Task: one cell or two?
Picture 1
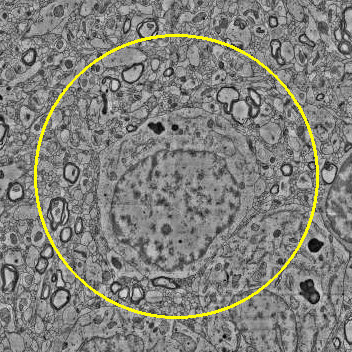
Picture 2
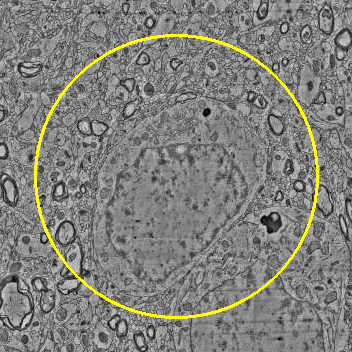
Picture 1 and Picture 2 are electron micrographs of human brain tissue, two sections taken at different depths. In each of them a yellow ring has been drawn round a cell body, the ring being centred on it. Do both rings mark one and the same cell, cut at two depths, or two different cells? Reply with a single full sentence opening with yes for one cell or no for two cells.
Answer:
Yes, what the two rings mark is one cell.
